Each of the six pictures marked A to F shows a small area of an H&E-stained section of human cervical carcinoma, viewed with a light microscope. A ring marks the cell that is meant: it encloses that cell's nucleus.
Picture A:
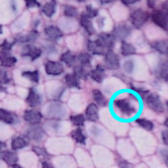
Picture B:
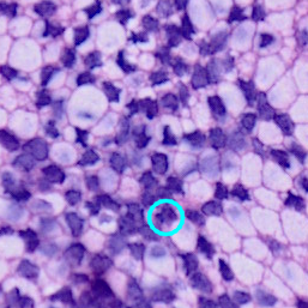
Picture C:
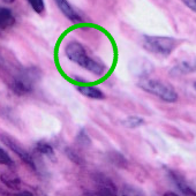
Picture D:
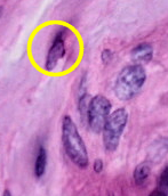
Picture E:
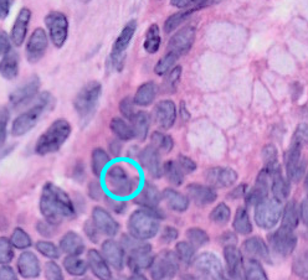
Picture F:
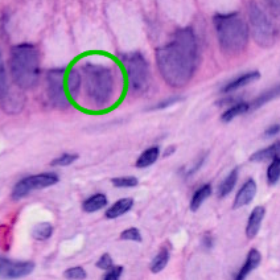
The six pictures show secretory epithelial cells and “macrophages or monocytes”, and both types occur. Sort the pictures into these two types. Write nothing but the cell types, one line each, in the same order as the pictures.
secretory epithelial cell
secretory epithelial cell
macrophage or monocyte
macrophage or monocyte
secretory epithelial cell
secretory epithelial cell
